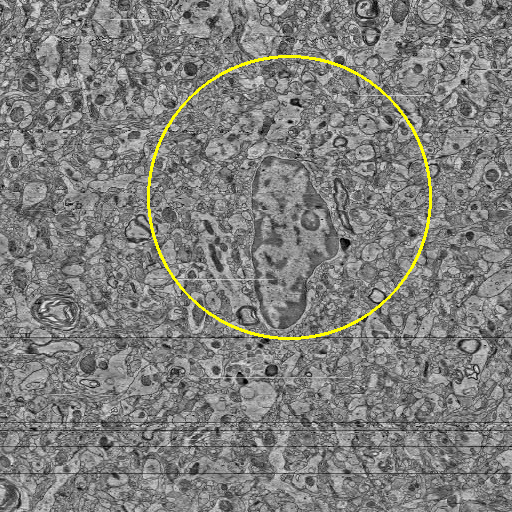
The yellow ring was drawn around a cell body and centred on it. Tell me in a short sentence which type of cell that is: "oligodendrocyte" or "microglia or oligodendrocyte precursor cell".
The cell at the ring's centre is a microglial cell or oligodendrocyte precursor cell.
